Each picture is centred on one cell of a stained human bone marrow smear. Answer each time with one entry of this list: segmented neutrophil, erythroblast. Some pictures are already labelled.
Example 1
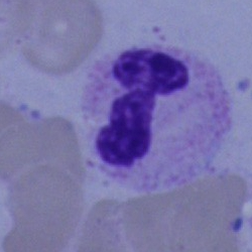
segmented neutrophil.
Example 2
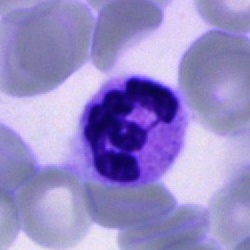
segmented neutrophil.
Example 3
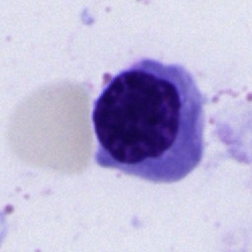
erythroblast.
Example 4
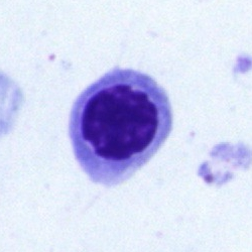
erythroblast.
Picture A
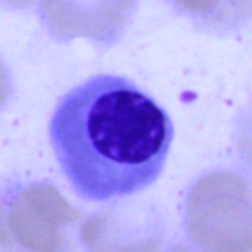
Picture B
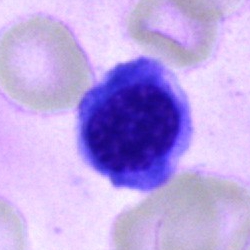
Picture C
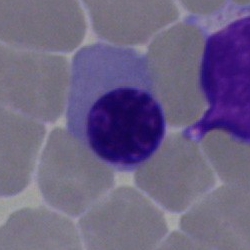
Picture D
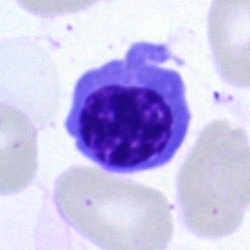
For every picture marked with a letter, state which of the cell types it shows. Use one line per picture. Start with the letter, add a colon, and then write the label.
A: erythroblast.
B: erythroblast.
C: erythroblast.
D: erythroblast.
